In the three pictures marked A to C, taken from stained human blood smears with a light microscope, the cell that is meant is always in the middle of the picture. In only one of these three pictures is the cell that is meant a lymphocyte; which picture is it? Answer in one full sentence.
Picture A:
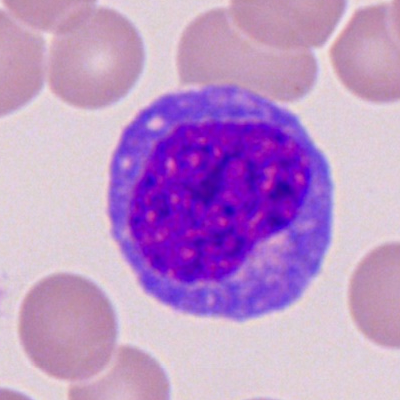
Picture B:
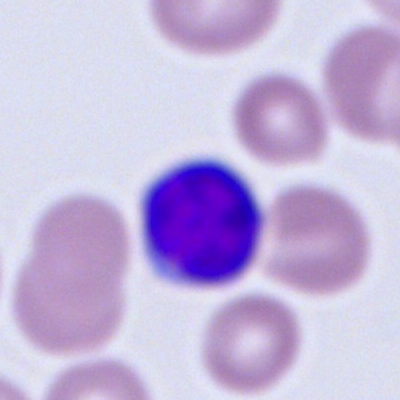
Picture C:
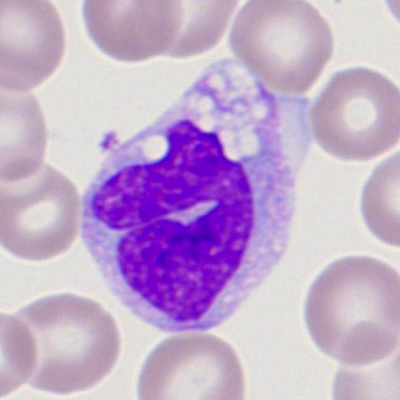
Picture B is the one that shows the lymphocyte.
